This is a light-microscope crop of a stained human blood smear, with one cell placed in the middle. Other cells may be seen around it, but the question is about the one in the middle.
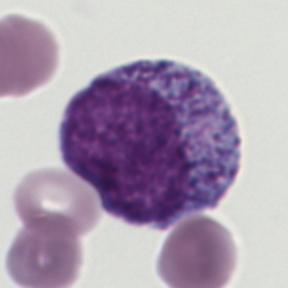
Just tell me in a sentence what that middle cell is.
In the middle of this smear crop is a myelocyte.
